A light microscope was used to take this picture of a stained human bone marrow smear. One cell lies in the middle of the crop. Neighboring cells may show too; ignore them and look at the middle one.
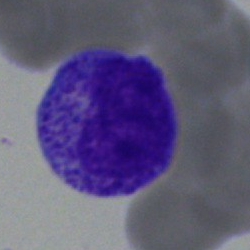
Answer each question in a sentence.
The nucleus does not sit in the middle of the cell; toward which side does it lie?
The nucleus sits off-centre, toward the right.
